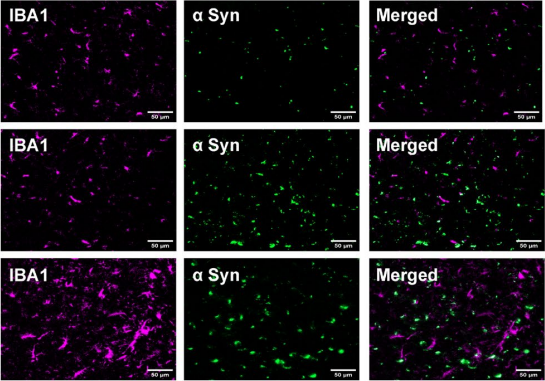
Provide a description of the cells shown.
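The green label appears as small dots and clumps scattered among them. In the lowest row the magenta cells are more numerous and look bulkier, with thicker bodies and processes, and the green clumps are larger and brighter. In the merged images some green clumps sit on or beside magenta cells, where the two colours overlap to give a whitish tone.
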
